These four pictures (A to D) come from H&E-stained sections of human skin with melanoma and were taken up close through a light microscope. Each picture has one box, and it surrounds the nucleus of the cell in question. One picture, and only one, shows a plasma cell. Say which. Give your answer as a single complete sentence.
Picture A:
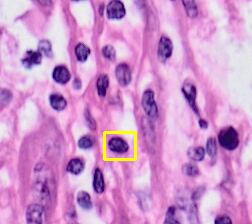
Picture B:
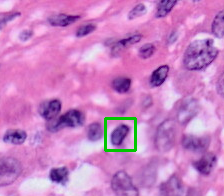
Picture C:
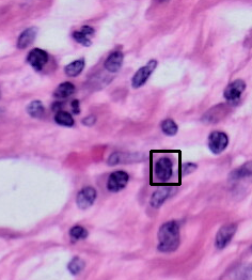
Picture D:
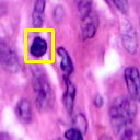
The cell in picture C is the plasma cell.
